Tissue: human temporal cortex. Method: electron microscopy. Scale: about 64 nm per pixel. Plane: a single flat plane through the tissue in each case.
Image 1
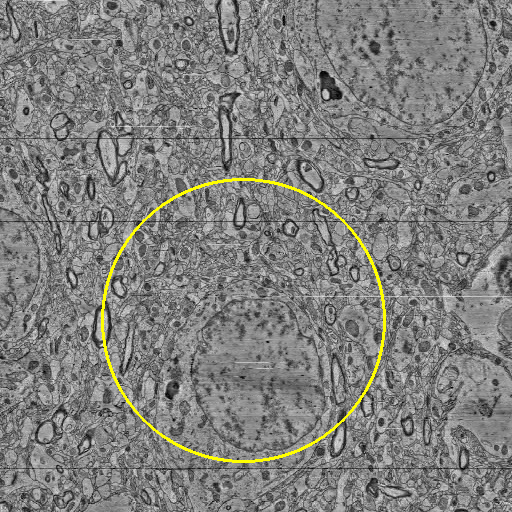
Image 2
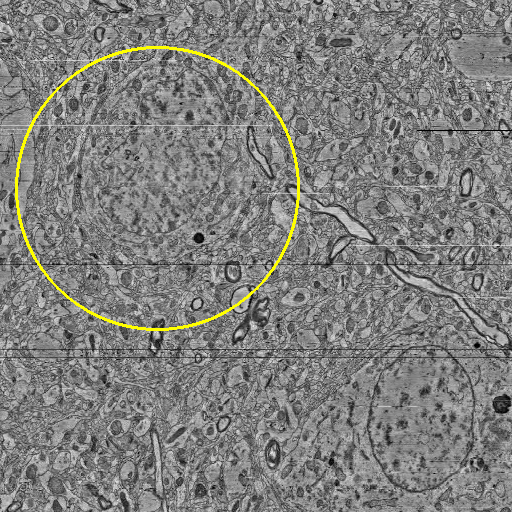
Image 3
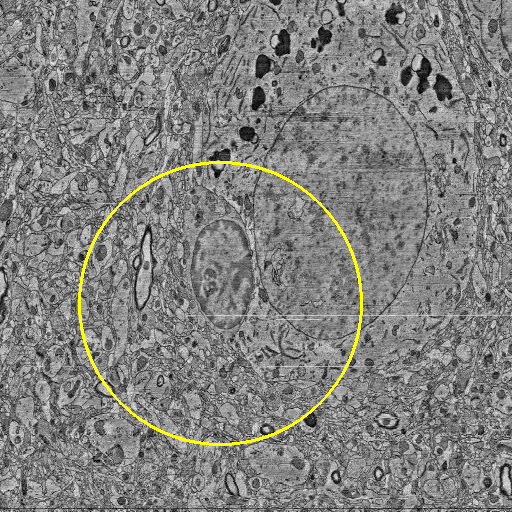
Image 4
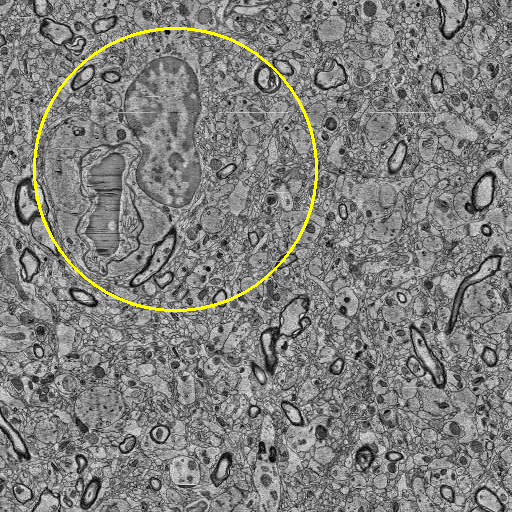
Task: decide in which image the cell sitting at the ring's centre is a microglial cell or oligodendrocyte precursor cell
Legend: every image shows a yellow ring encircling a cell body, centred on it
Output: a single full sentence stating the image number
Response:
In image 4, the cell at the middle of the ring is the match.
